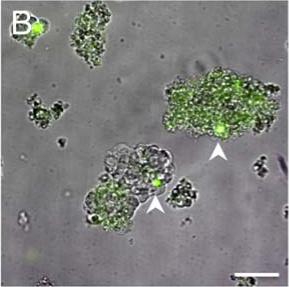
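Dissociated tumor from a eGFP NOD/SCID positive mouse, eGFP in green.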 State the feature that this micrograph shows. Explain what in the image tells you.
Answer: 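Cells are gathered into rounded, free-floating clusters of many cells. Several clusters of different sizes lie apart from one another on a plain background. Some clusters carry green fluorescence over many of their cells.
Conclusion: spheres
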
